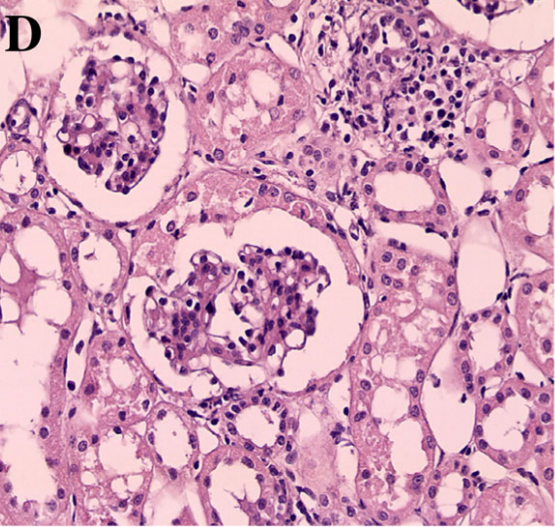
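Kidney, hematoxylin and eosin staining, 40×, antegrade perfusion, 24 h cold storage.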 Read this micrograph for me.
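Two renal glomeruli sit among cortical tubules. Each capillary tuft, crowded with dark purple nuclei, is shrunken and separated from its capsule by a broad clear space, while the capsule itself is lined by flat cells. The surrounding tubules are lined by cuboidal cells with round nuclei and pale pink cytoplasm, many with clear vacuoles, and several lumina are widely open and empty. A small cluster of closely packed dark nuclei lies between tubules at the upper right.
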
